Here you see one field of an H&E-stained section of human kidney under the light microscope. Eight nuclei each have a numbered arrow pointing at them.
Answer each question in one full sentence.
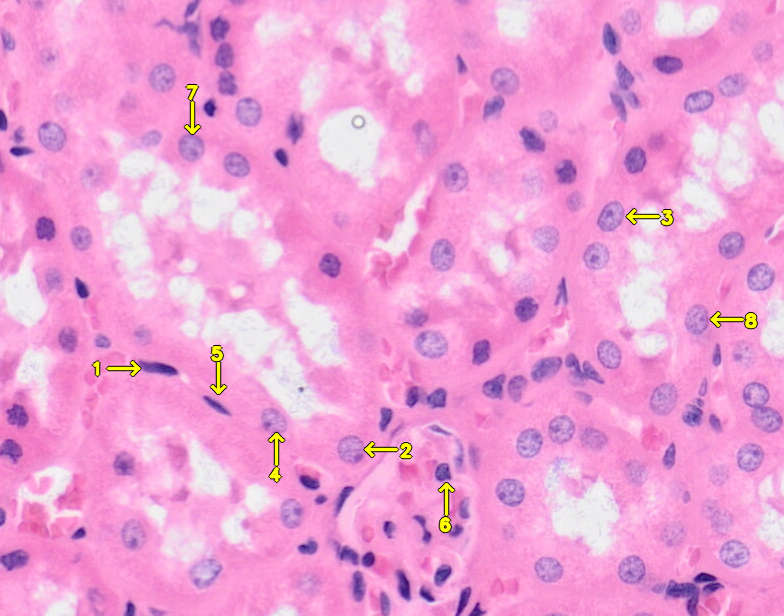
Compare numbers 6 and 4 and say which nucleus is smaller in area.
It is nucleus 6; nucleus 4 has about 1.5 times its area.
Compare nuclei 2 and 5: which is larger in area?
It is nucleus 2, which covers about 2.5 times the area of nucleus 5.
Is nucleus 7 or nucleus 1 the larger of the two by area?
It is nucleus 7, which covers about 1.5 times the area of nucleus 1.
